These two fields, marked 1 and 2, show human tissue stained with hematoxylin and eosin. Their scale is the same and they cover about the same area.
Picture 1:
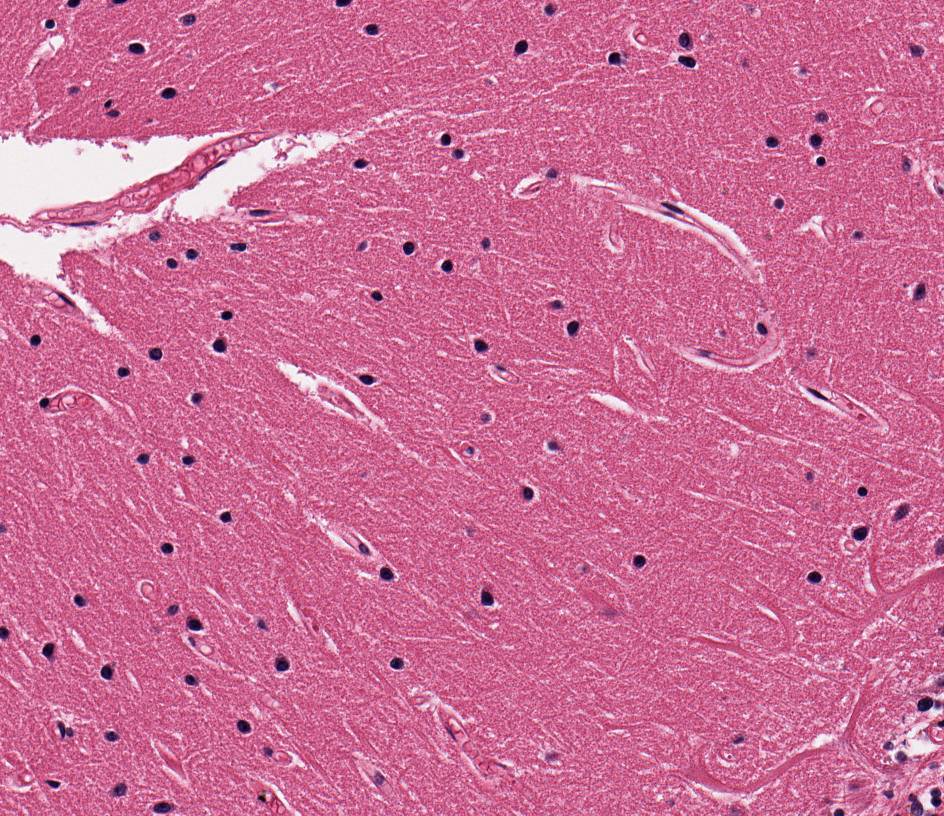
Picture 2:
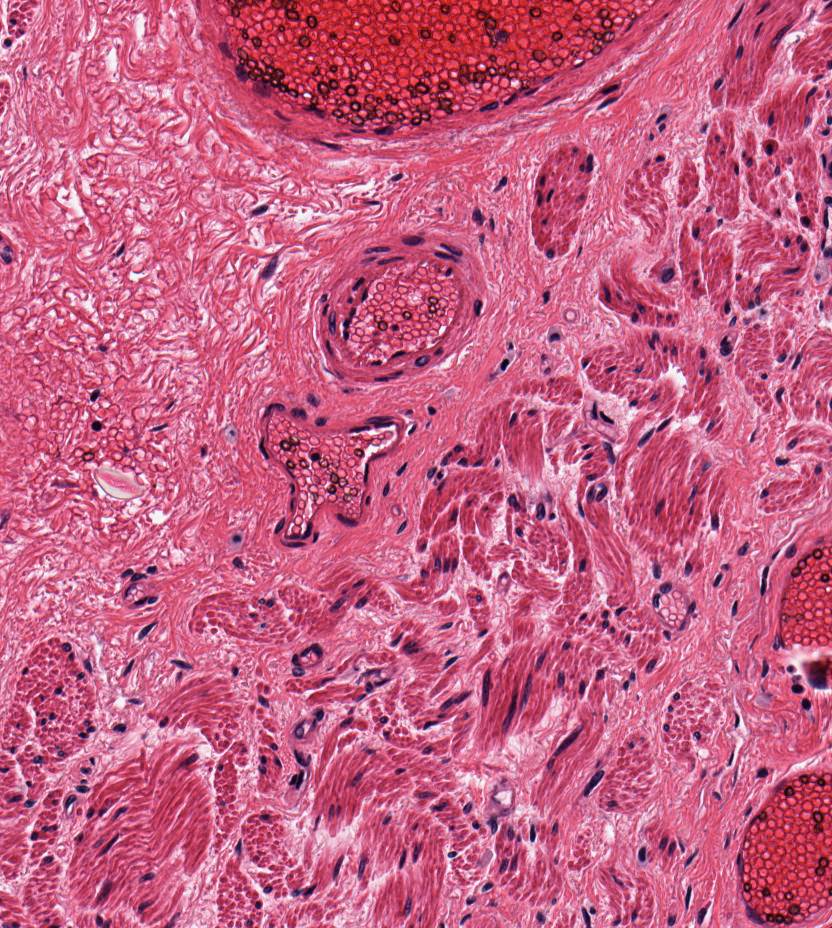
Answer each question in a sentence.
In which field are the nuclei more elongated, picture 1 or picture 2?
On the whole the nuclei of picture 2 are more drawn out than those of picture 1.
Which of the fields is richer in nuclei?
The larger number of nuclei is in picture 2.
